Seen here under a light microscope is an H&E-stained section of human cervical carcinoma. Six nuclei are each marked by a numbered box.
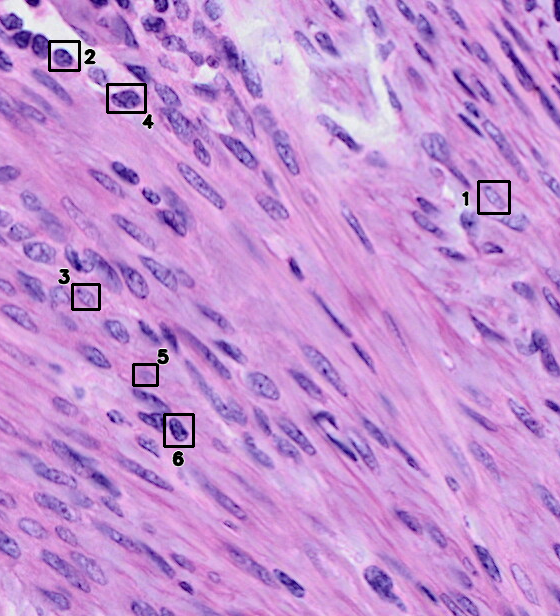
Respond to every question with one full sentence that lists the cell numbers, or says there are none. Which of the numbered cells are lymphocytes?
On this slide, the cells numbered 2, 4 and 6 are lymphocytes.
